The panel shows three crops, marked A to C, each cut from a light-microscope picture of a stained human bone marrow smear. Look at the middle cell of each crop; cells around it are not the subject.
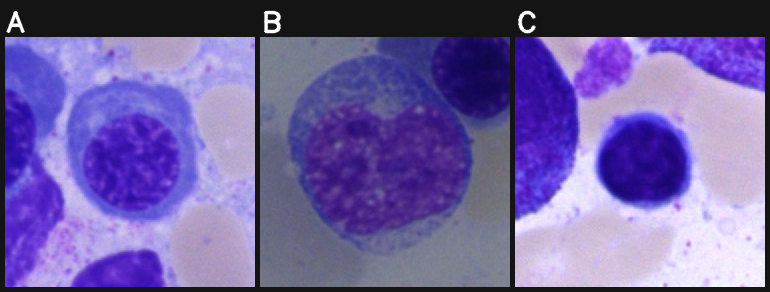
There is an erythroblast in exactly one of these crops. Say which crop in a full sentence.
Identified crop: A, the one that shows an erythroblast.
